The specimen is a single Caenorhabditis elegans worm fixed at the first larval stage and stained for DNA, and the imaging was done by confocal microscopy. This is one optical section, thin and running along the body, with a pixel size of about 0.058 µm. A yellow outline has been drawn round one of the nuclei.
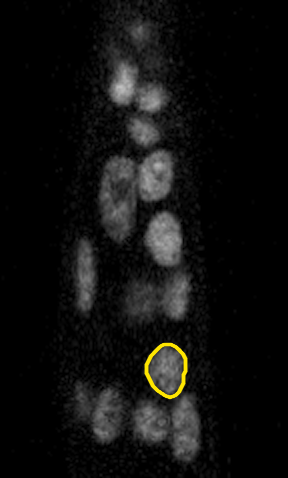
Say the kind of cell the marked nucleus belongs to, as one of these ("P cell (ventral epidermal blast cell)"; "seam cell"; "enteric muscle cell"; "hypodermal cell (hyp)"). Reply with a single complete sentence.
This is the nucleus of a P cell (ventral epidermal blast cell).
